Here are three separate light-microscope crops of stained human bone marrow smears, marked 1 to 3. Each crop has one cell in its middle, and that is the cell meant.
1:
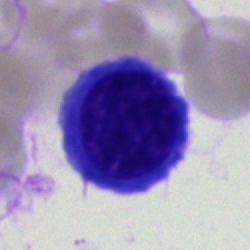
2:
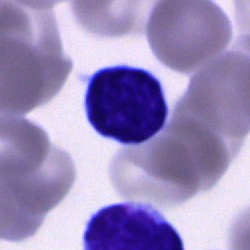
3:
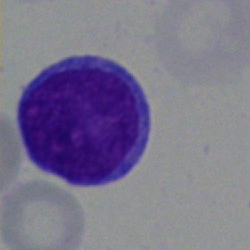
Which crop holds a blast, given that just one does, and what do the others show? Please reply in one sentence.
Seen in crop 3 is a blast, while crop 1 is an erythroblast and crop 2 is a lymphocyte.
